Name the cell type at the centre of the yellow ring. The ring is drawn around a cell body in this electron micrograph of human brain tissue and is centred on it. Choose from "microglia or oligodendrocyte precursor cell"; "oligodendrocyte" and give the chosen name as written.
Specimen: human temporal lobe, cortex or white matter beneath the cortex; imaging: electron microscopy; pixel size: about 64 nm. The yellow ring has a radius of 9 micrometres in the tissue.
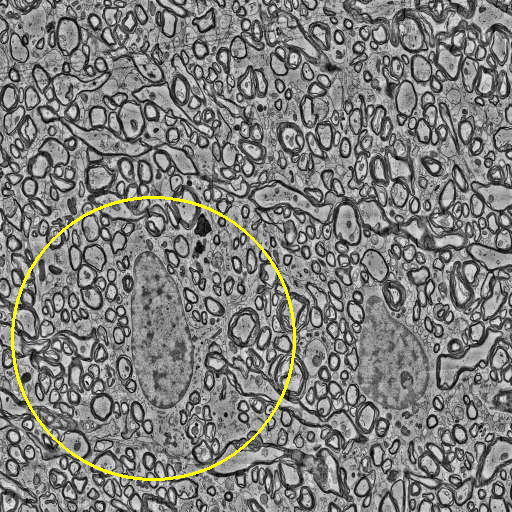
microglia or oligodendrocyte precursor cell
